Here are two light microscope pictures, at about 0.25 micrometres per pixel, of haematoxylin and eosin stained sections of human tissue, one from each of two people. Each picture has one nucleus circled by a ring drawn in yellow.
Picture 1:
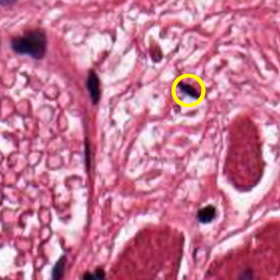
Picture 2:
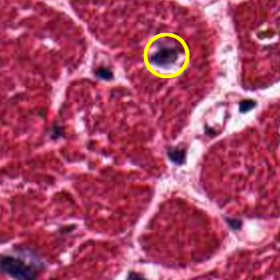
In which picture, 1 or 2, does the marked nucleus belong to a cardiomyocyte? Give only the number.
2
